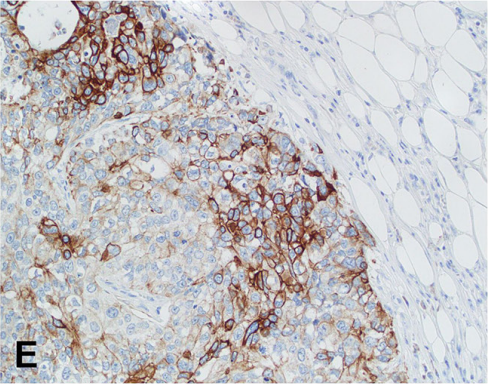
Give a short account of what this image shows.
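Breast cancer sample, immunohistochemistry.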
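A sheet of invasive carcinoma cells fills most of the field, with fat cells and loose stroma at the right. In many of the tumor cells the brown stain sharply traces the cell borders, giving a chicken-wire outline, while the cytoplasm inside stays pale. The nuclei are large, round to oval and blue, some with visible nucleoli. The outlining is strongest at the upper left and patchy elsewhere in the sheet. The fat cells and stromal cells are unstained.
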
